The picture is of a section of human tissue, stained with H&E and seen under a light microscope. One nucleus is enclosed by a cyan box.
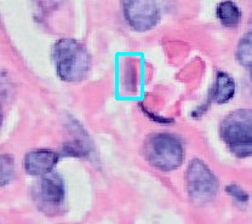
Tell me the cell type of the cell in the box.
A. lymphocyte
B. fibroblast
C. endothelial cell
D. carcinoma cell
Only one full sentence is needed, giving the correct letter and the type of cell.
The correct pick is option C; the cell in the box is an endothelial cell.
